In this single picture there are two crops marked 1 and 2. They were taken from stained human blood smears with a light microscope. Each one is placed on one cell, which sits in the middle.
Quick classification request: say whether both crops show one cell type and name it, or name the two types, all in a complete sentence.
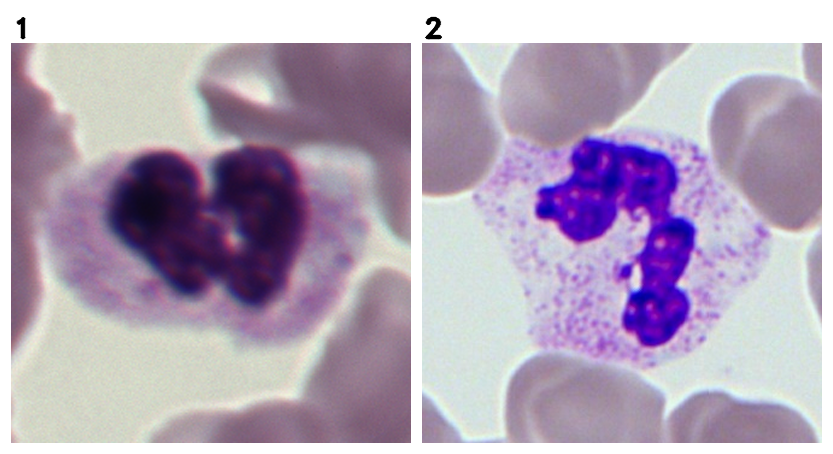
Yes, the same answer goes for both crops, namely segmented neutrophils.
